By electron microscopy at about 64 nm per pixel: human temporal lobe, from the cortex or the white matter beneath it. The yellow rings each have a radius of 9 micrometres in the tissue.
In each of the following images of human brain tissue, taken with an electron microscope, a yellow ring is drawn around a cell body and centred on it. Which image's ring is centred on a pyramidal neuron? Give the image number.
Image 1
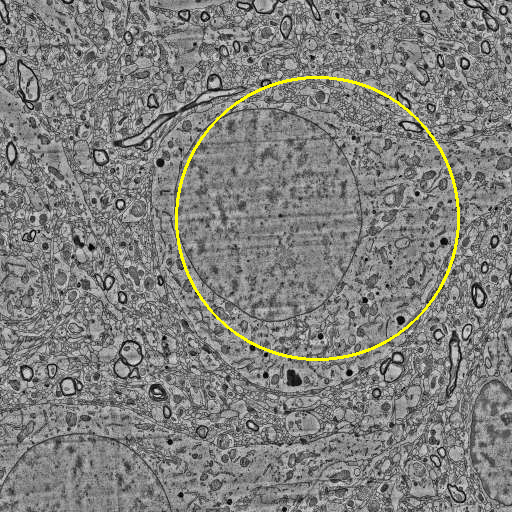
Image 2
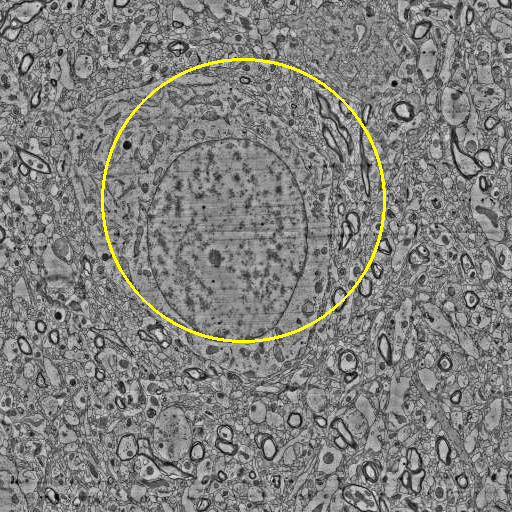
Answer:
1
